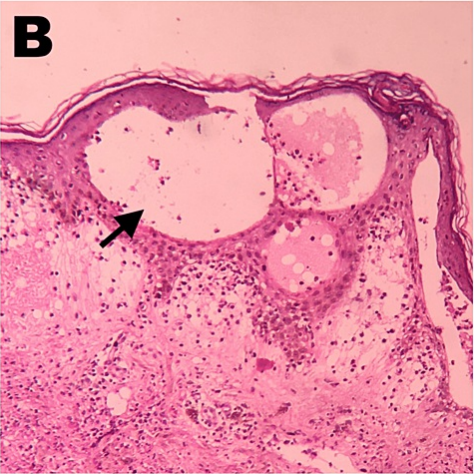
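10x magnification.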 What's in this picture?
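Skin with several large rounded cavities lying within the epidermis, containing pale pink fluid and a few scattered cells. The epidermis surrounding the cavities is thinned, and the dermis beneath is loose and pale with scattered inflammatory cells.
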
